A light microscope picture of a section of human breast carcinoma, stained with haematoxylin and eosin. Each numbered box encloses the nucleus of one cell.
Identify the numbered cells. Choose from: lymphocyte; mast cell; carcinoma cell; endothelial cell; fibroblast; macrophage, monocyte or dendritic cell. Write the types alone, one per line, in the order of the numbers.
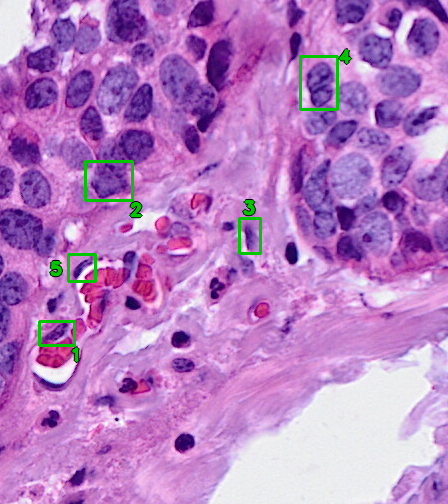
endothelial cell
carcinoma cell
fibroblast
carcinoma cell
endothelial cell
